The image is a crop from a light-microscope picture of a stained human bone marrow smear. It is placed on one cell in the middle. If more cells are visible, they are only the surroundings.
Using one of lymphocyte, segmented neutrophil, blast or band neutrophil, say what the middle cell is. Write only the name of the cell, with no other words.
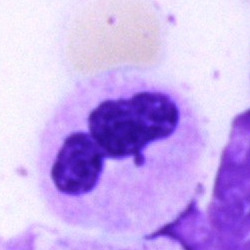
segmented neutrophil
